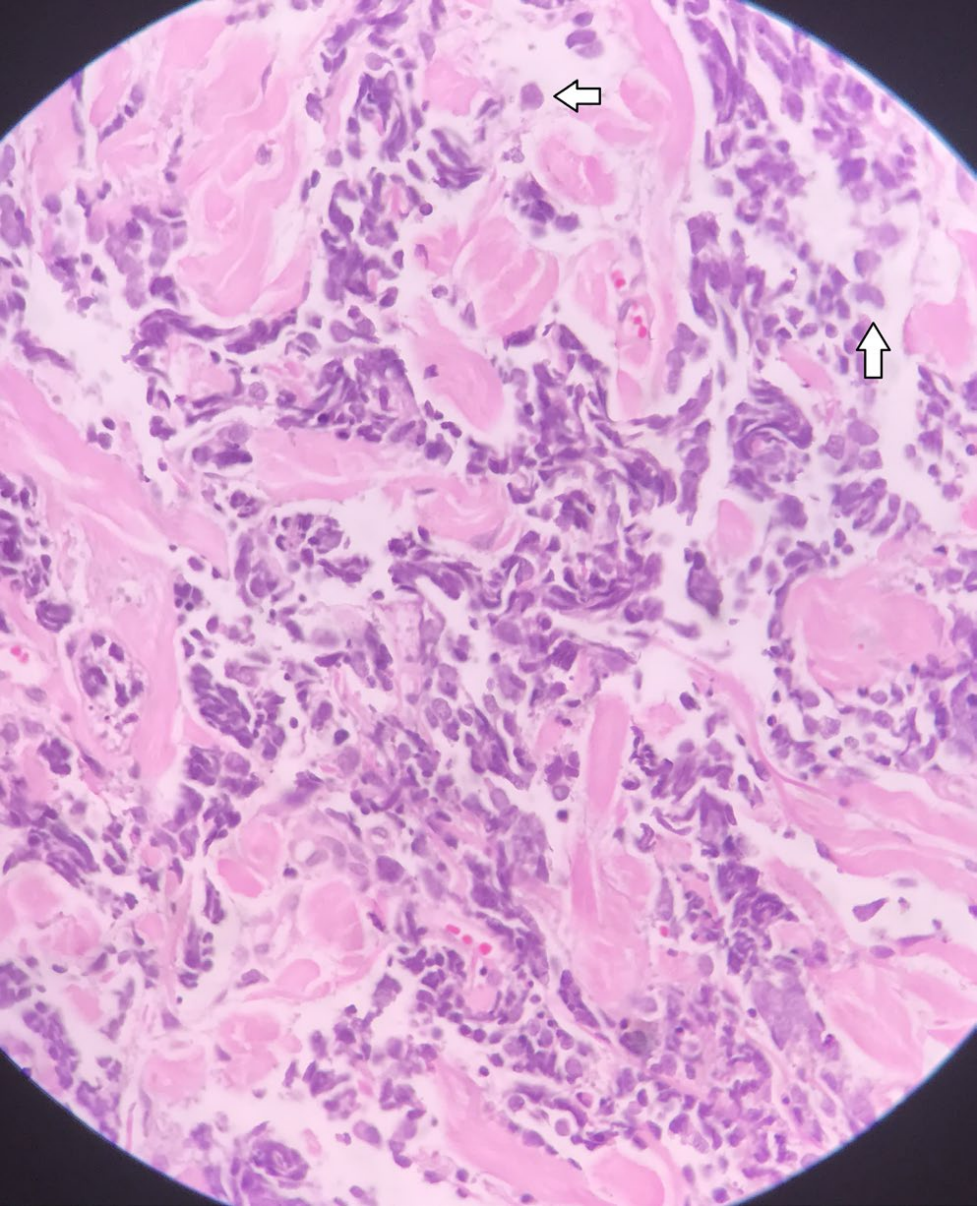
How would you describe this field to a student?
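This is dermis infiltrated by a small round cell tumor, with sheets and cords of tumor cells running between thick pink collagen bundles. The tumor cells are small and round to oval, some slightly elongated. Each has a dark, hyperchromatic purple nucleus and very scant cytoplasm, so the nucleus-to-cytoplasm ratio is high. The cells crowd together in clusters and strands that wrap around and separate the eosinophilic collagen. Small vessels containing red blood cells lie scattered among the tumor cells.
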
